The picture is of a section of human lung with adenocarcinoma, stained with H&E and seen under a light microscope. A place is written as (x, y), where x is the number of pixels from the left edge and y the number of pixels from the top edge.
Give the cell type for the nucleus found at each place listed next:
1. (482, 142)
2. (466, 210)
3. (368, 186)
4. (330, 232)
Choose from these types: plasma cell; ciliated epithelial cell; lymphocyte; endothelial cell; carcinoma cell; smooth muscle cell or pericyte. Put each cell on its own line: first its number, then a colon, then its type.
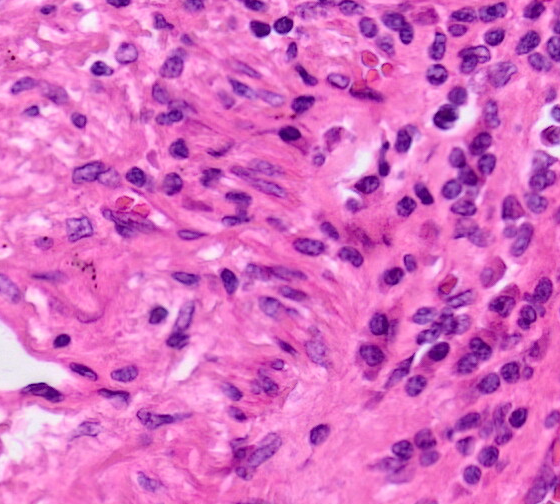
1: plasma cell
2: lymphocyte
3: plasma cell
4: plasma cell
